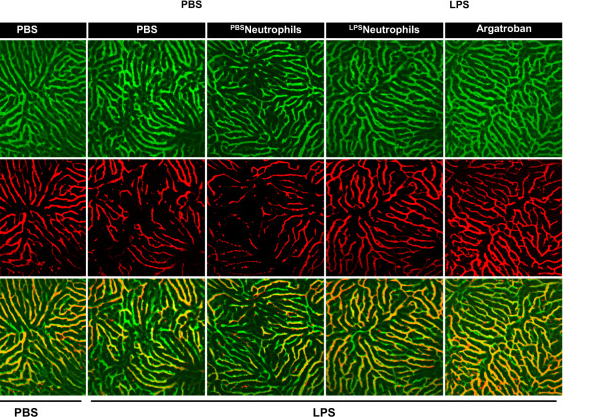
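This is a grid of fluorescence images of the liver's fine vascular network, with one channel per row and the two channels overlaid in the bottom row. In the green row, narrow, branching, interconnected channels run across each field, often converging in a radiating pattern, and the dark gaps between them are where the liver tissue lies. The red row shows the same kind of branching pattern, but only in part of the network. In some columns the red tracks are sparse and broken, leaving many green channels without red. In the overlay, channels carrying both colours look yellow-orange, and channels with green alone stay green.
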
